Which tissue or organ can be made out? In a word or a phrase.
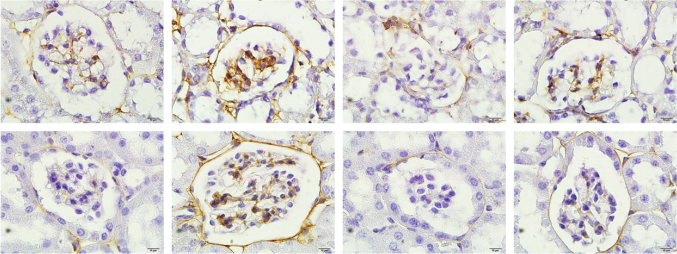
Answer: Kidney.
